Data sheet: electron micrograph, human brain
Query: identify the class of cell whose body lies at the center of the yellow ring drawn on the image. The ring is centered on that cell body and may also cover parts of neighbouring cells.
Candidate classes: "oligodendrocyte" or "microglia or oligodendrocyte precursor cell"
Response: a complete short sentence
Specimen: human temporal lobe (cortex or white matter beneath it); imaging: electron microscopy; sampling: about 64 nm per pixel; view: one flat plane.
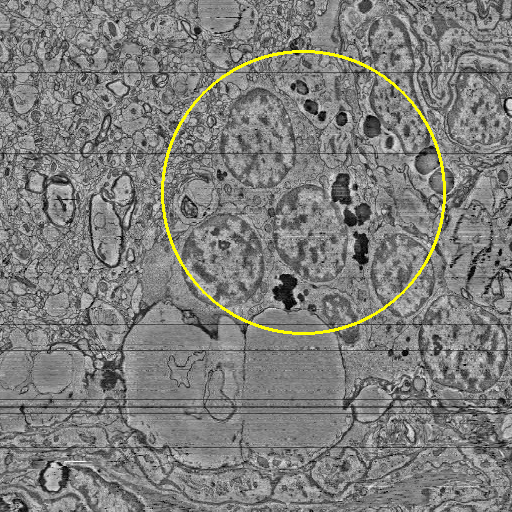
At the center of the ring lies an oligodendrocyte.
